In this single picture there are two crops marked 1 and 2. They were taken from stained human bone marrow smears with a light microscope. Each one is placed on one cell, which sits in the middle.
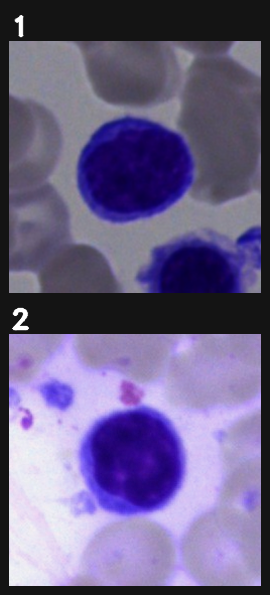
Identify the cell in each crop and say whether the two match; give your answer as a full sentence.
Yes, the cells at the centre of both crops are lymphocytes.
